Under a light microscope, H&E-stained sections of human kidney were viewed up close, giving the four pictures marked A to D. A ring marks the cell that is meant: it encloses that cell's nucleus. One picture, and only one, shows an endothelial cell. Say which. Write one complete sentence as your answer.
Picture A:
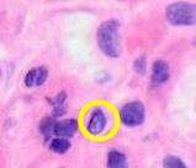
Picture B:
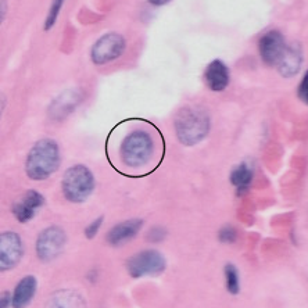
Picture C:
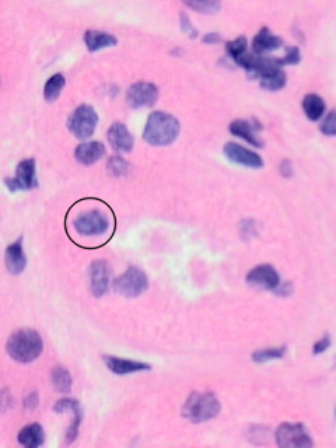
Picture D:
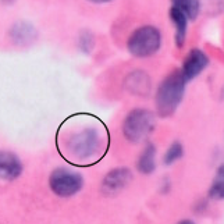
Picture A is the one that shows the endothelial cell.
